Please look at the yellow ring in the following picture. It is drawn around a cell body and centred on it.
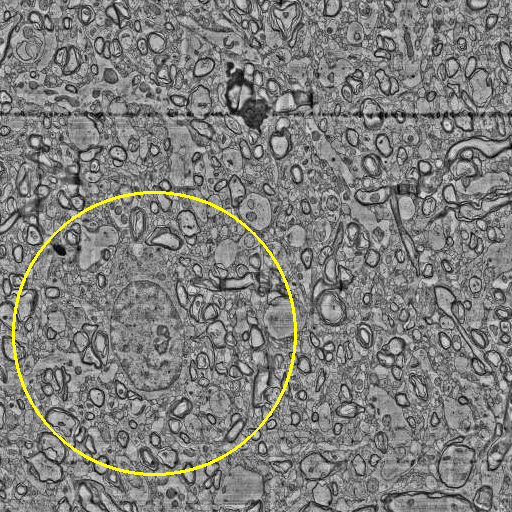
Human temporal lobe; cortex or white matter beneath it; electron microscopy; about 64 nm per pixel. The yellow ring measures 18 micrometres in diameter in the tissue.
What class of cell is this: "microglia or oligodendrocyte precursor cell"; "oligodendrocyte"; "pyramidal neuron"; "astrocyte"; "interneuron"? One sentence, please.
The ring surrounds the cell body of an oligodendrocyte.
